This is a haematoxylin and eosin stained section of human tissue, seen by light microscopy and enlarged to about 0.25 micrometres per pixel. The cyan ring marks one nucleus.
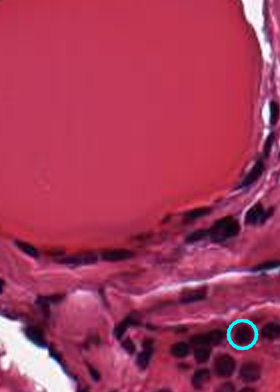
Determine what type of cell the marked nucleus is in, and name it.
thyroid follicular cell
